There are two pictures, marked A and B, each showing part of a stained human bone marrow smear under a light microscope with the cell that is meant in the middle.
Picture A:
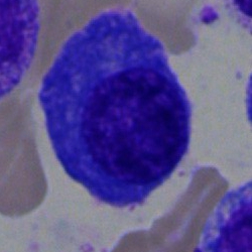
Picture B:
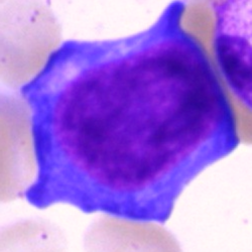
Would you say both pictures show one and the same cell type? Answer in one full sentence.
No, they differ: the cell is a plasma cell in picture A and a proerythroblast in picture B.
